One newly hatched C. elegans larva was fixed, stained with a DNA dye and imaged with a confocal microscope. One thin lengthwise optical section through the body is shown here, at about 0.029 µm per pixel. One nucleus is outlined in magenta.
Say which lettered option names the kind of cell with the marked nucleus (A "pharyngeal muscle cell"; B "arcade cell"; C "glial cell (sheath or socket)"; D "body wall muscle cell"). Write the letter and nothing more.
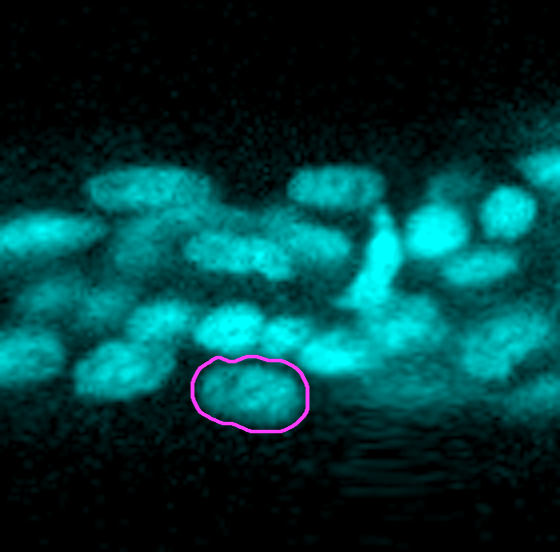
D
